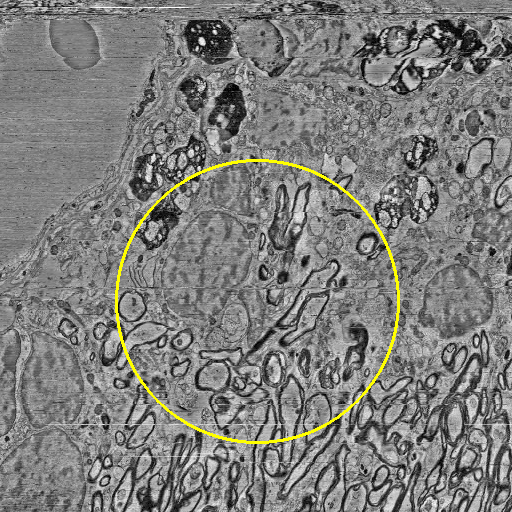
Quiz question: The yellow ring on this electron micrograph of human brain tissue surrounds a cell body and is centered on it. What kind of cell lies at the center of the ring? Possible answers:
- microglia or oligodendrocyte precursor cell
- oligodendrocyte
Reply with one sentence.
The ring's center lies on an oligodendrocyte.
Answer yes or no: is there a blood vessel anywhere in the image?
Yes, there is one.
